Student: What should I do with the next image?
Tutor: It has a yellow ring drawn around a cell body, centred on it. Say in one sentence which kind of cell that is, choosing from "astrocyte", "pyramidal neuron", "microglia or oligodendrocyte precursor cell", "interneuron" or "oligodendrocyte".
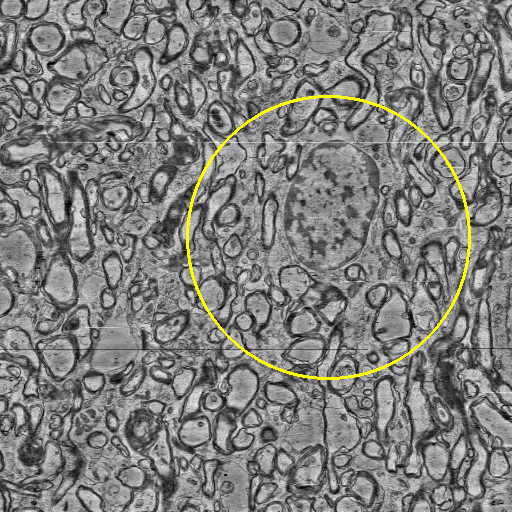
The ring's centre is occupied by a microglial cell or oligodendrocyte precursor cell.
